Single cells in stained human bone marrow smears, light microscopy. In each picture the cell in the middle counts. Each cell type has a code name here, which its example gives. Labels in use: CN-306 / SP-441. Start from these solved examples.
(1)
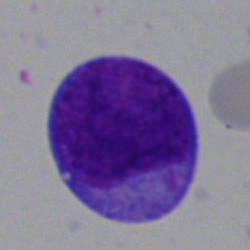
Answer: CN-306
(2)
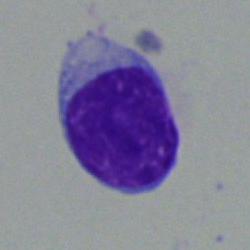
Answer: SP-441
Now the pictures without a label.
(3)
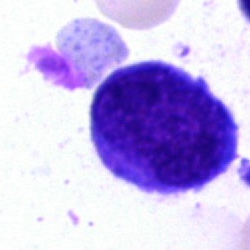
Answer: CN-306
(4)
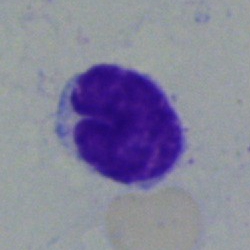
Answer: SP-441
